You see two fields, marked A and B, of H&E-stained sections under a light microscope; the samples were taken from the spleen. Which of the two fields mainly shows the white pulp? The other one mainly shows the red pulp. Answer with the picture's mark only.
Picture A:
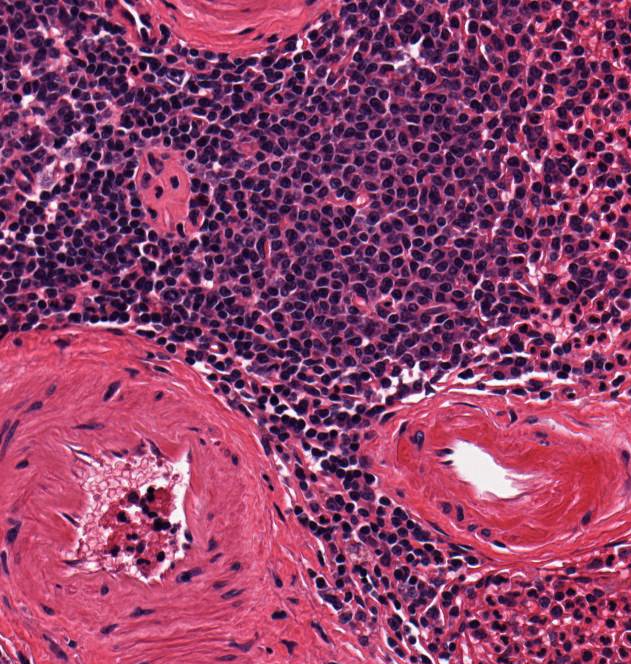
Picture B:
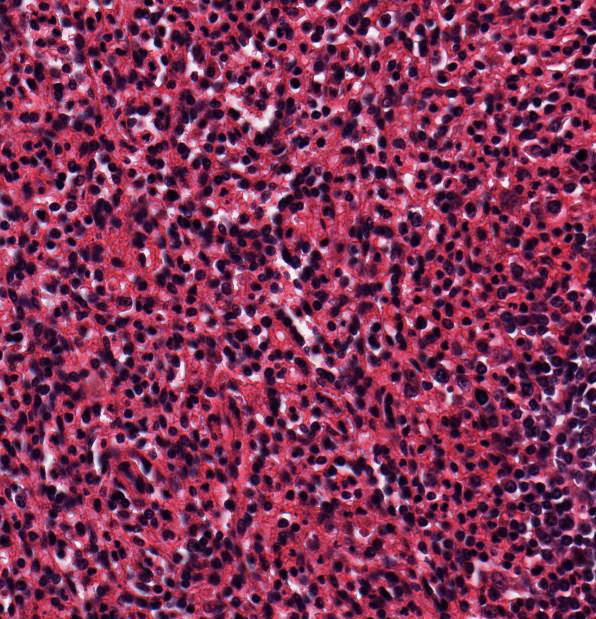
A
